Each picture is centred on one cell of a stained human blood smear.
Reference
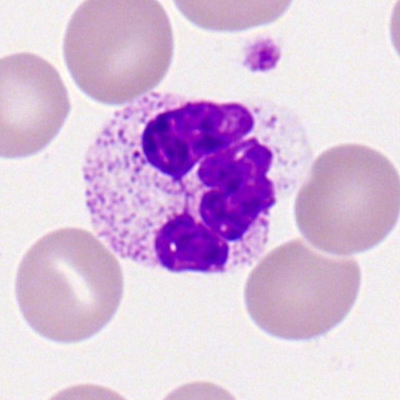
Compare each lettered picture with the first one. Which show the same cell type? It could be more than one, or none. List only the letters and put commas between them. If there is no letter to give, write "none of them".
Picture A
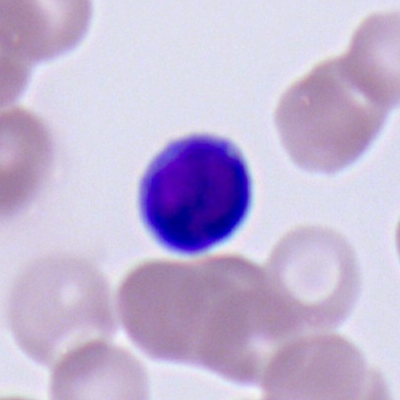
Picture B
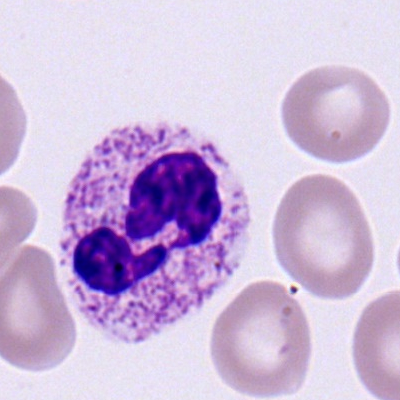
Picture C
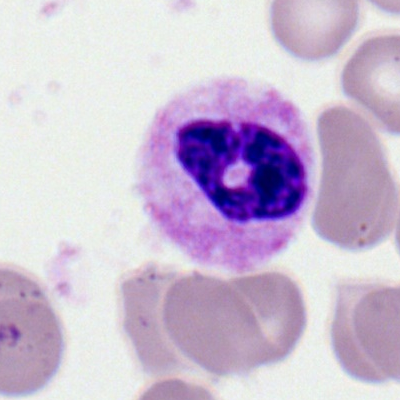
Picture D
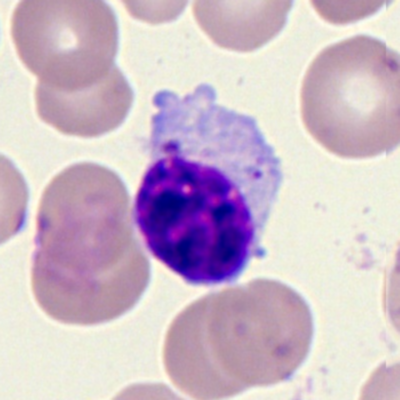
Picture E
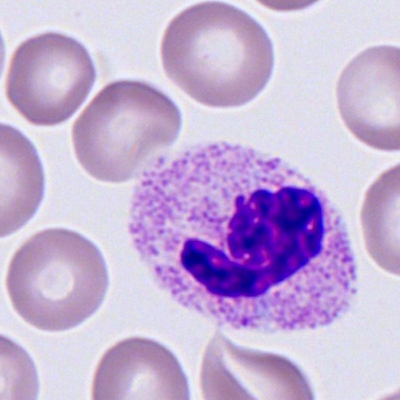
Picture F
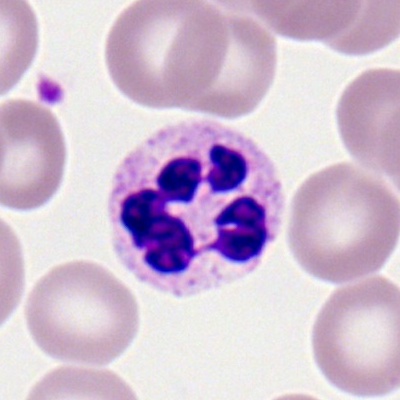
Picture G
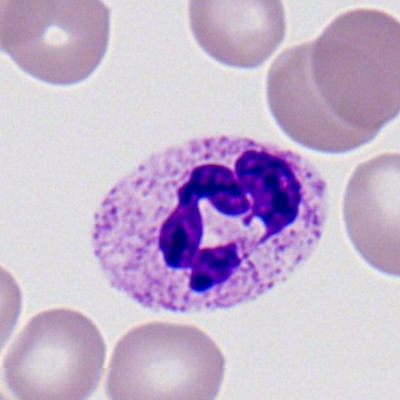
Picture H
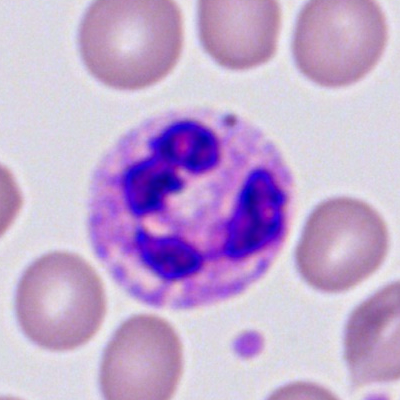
B, C, E, F, G, H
